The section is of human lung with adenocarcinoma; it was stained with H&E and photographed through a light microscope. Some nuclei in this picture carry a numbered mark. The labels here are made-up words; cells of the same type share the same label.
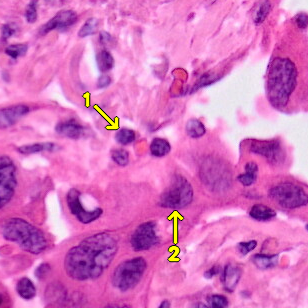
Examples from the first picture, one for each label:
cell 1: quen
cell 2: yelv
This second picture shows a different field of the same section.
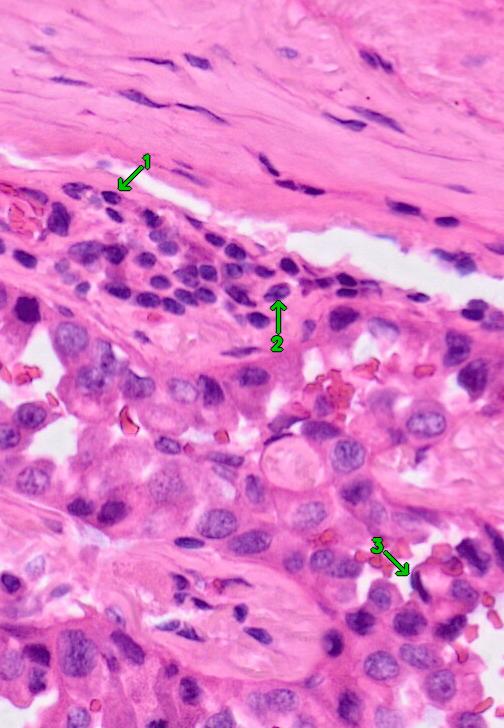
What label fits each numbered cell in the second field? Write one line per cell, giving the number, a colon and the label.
1: quen
2: quen
3: yelv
